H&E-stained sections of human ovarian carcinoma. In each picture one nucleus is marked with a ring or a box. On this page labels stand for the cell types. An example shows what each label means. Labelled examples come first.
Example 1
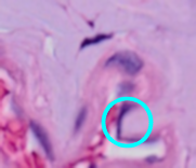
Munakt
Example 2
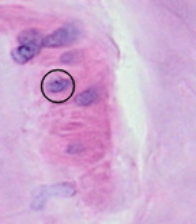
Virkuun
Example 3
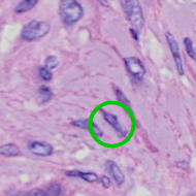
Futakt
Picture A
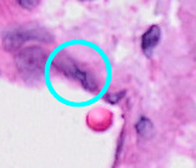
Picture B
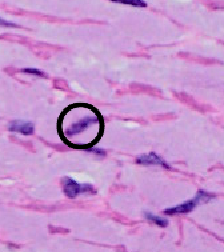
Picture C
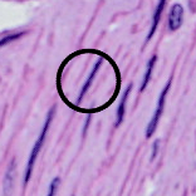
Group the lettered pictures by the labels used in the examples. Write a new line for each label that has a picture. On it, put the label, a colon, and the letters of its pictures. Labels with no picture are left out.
Munakt: A
Futakt: B, C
